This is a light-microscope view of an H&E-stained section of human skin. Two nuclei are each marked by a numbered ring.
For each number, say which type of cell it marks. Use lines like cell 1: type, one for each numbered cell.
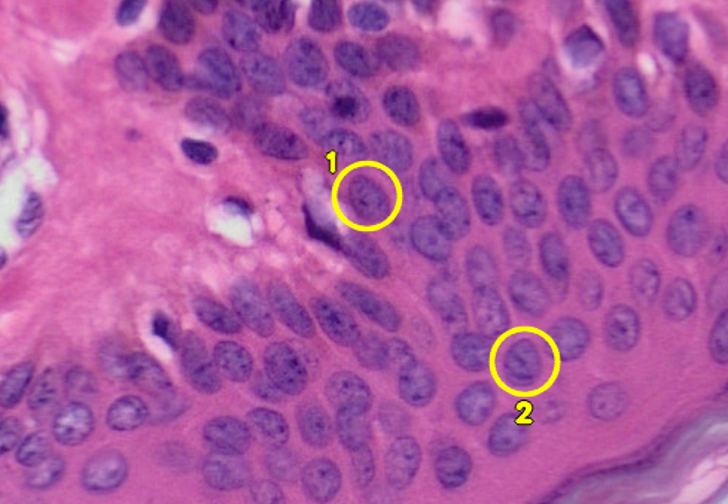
cell 1: basal keratinocyte
cell 2: suprabasal keratinocyte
